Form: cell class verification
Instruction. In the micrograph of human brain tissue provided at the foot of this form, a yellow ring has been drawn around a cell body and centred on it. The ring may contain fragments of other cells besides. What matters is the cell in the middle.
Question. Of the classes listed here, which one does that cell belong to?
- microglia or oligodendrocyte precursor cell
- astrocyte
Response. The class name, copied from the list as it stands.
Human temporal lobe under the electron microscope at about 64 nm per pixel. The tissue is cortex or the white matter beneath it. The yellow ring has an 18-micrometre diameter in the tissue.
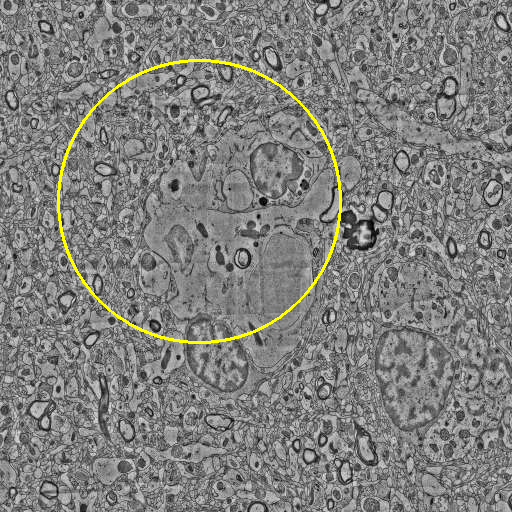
microglia or oligodendrocyte precursor cell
